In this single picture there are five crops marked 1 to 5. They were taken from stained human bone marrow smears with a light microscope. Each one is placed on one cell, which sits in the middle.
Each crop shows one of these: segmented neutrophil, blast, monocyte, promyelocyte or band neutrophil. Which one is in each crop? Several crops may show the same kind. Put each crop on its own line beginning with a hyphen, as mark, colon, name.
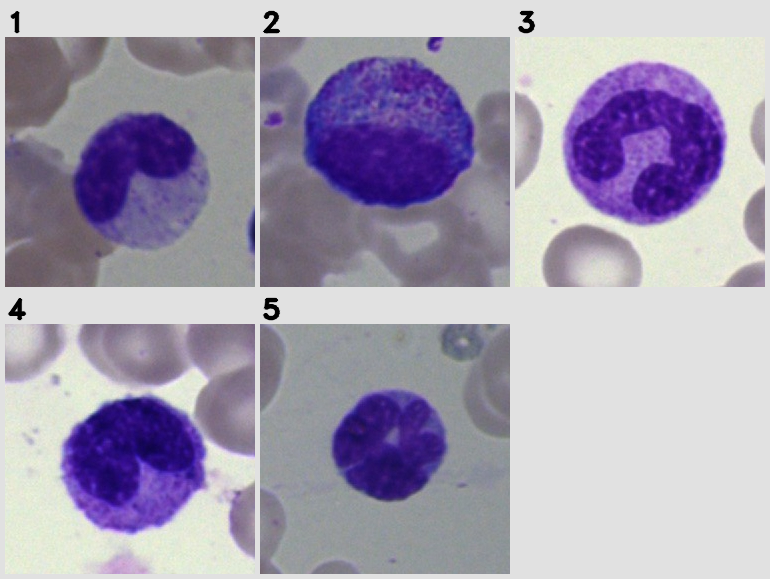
- 1: band neutrophil
- 2: promyelocyte
- 3: segmented neutrophil
- 4: band neutrophil
- 5: monocyte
